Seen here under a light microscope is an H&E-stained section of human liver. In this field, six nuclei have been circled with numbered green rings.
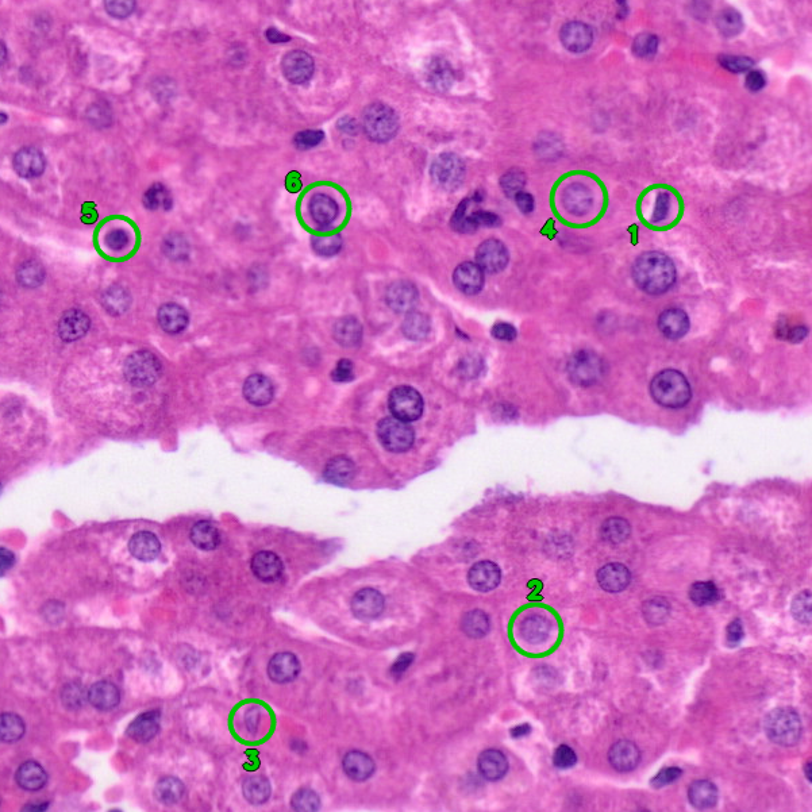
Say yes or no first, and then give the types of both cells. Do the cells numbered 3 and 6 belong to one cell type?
No, cell 3 is typed as an endothelial cell, and cell 6 is typed as a hepatocyte.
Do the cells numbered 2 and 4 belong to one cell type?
Yes, cells 2 and 4 are both to be classed as hepatocytes.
